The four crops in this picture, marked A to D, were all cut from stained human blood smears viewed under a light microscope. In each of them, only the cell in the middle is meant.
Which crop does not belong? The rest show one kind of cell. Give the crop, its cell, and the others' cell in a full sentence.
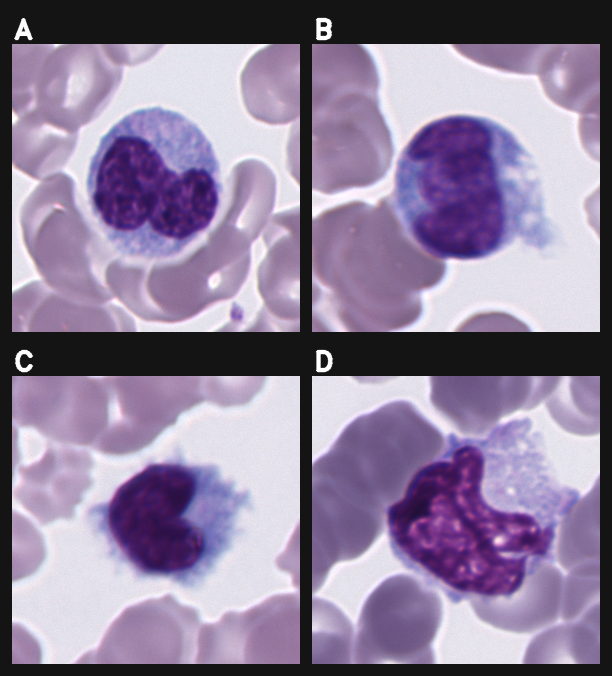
Crop C breaks the pattern as a hairy cell; the other crops all contain monocytes.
